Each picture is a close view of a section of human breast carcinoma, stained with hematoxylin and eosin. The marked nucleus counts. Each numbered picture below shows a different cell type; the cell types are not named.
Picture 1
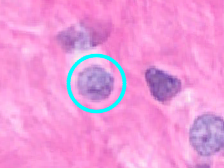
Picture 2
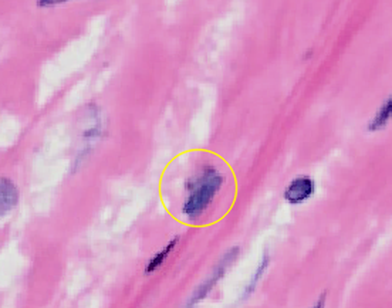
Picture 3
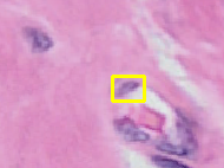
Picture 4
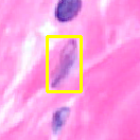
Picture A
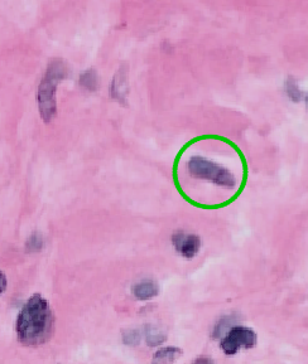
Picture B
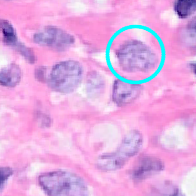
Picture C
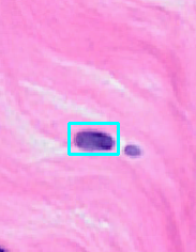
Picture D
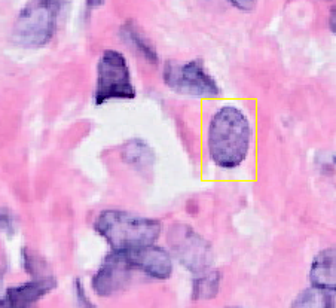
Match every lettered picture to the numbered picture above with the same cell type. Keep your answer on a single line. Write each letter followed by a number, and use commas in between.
A 2, B 1, C 2, D 1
